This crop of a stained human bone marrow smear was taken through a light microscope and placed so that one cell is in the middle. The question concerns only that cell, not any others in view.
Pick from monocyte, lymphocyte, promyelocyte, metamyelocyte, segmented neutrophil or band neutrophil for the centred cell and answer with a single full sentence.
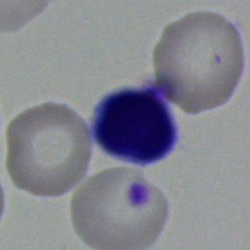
The cell under consideration, at the middle of the crop, is a lymphocyte.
